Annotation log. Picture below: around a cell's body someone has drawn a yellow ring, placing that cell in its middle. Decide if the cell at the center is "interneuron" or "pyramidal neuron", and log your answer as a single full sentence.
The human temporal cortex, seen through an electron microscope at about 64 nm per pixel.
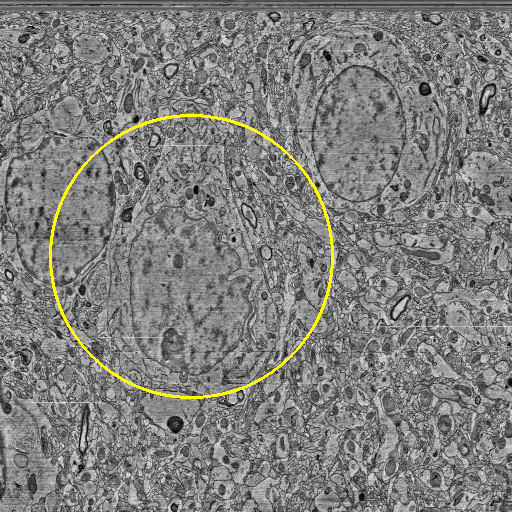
My entry records an interneuron as the cell sitting at the center of the yellow ring.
